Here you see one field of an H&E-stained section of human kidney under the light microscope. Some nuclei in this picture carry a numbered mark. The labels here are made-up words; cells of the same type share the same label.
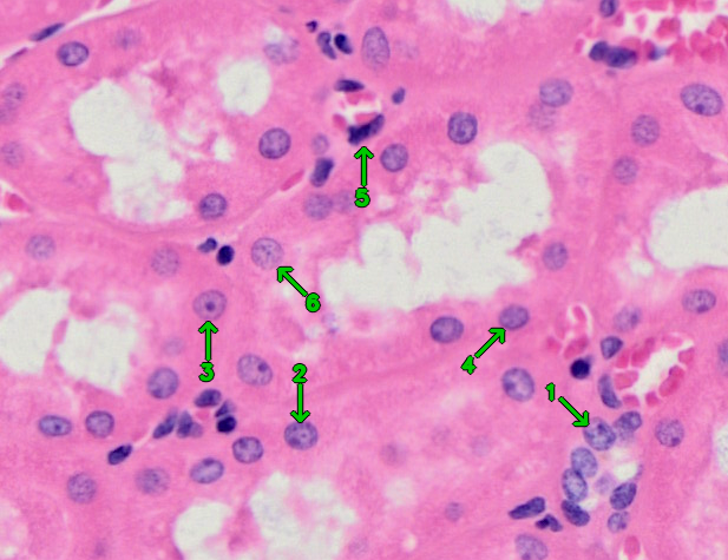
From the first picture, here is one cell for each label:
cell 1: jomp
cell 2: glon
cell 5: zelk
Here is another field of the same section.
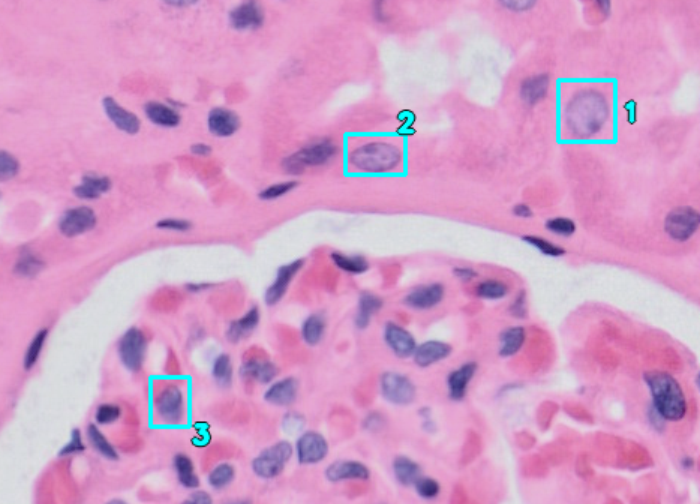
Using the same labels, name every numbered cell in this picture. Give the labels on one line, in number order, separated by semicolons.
glon; glon; zelk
